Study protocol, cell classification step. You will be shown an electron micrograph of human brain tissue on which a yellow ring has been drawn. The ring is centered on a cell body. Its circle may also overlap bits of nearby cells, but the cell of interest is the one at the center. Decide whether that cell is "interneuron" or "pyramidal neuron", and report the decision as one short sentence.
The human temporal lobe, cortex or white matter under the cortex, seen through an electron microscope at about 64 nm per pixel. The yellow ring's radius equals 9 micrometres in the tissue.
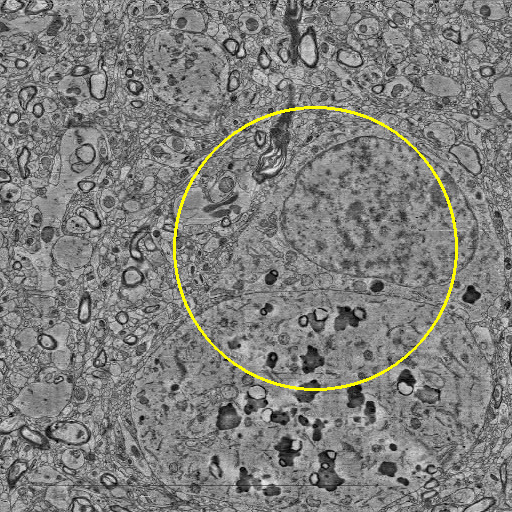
The marked cell is an interneuron.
